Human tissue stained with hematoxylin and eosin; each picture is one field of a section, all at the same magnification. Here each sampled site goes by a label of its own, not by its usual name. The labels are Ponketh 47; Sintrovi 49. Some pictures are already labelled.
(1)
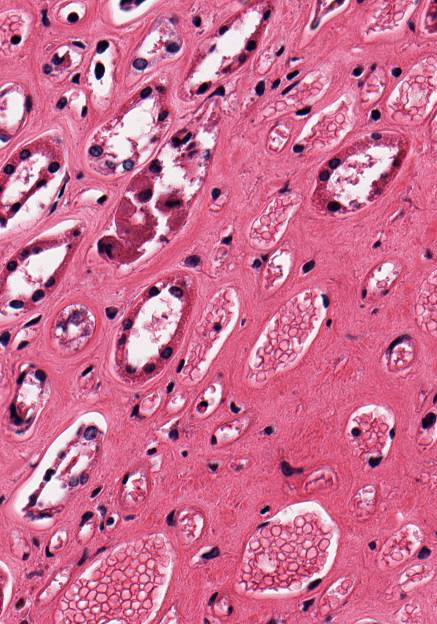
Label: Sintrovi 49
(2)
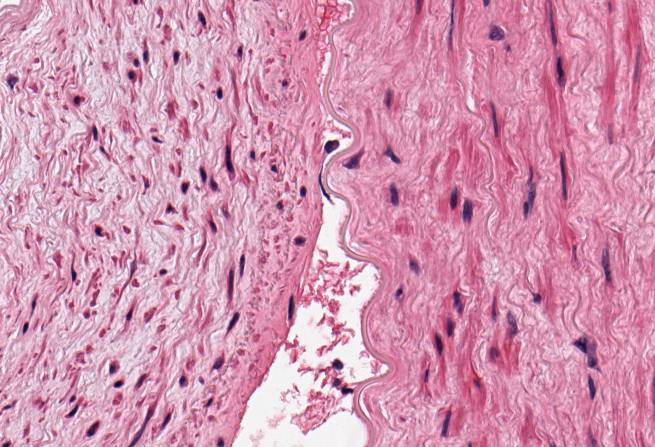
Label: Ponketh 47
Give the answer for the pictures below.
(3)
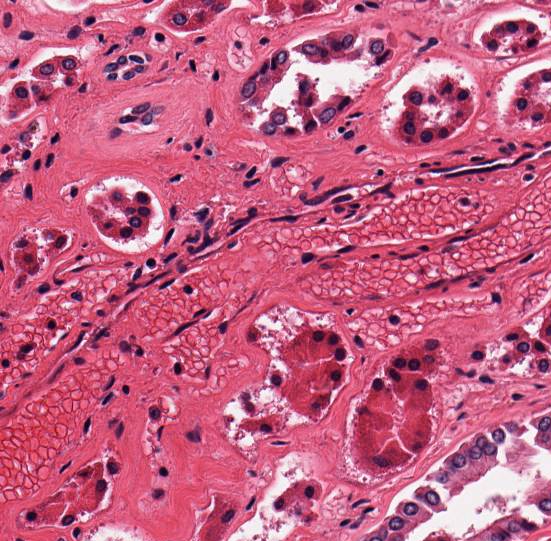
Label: Sintrovi 49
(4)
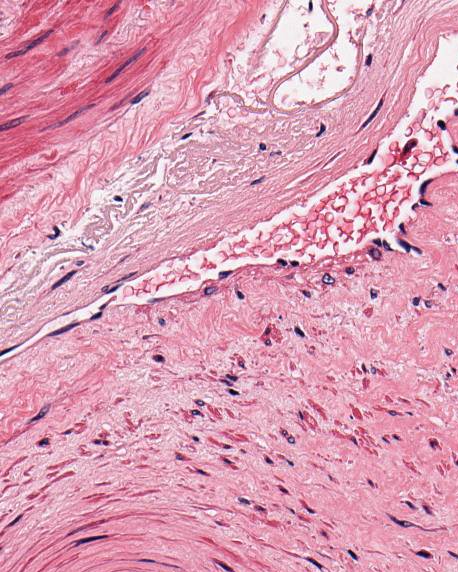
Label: Ponketh 47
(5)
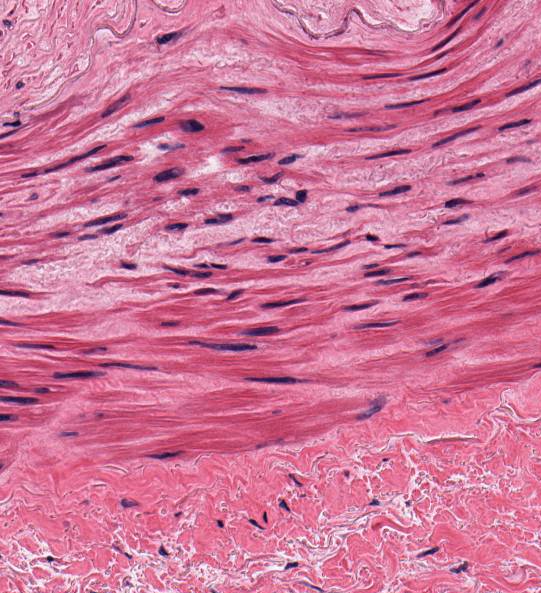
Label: Ponketh 47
